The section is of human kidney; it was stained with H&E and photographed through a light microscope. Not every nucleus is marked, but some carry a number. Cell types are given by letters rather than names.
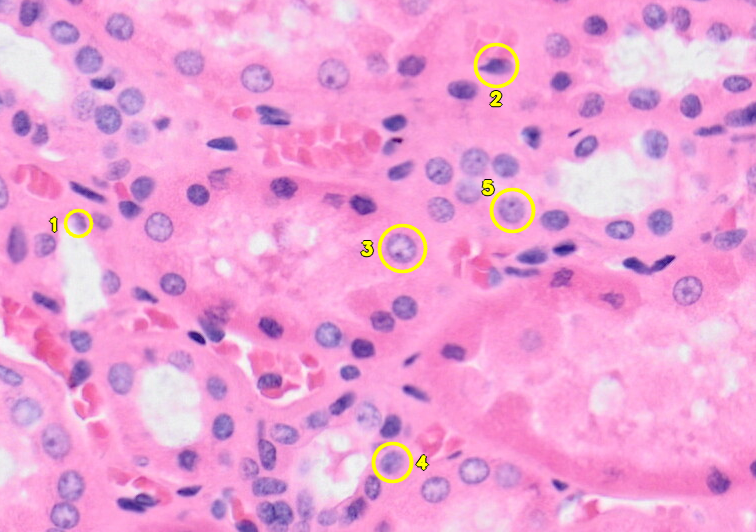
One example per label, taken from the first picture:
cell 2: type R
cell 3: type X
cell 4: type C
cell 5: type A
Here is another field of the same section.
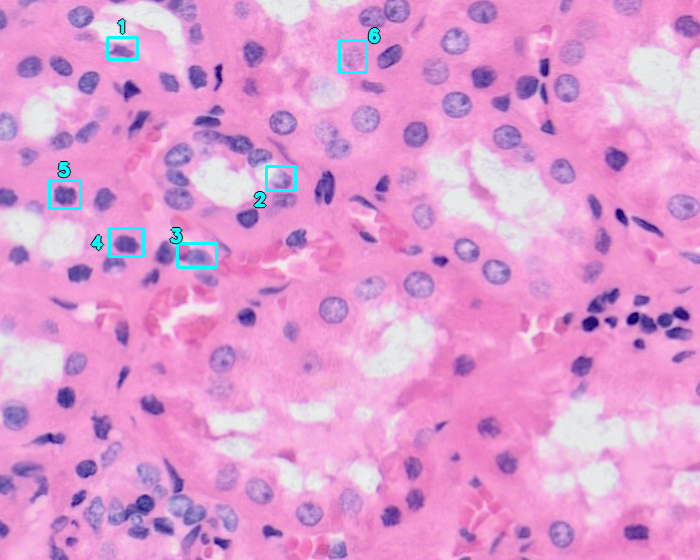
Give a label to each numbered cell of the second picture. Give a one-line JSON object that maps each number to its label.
{"1": "type A", "2": "type C", "3": "type R", "4": "type A", "5": "type A", "6": "type X"}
